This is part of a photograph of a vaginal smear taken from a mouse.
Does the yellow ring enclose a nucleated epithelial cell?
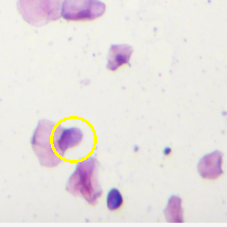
No. The ring encloses a cornified epithelial cell.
